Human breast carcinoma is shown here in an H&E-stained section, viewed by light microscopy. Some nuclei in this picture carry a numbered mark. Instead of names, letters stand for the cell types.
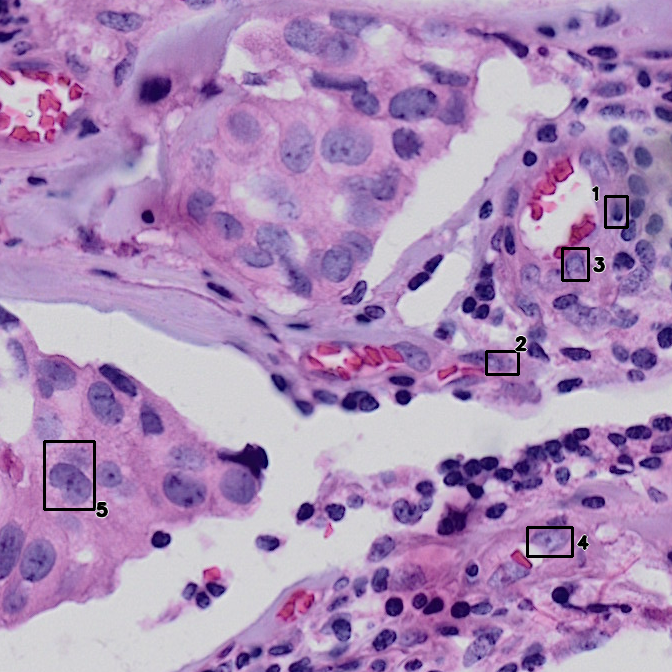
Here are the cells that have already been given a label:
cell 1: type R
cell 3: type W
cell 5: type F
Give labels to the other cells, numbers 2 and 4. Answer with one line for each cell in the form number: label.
2: type W
4: type W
